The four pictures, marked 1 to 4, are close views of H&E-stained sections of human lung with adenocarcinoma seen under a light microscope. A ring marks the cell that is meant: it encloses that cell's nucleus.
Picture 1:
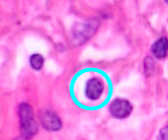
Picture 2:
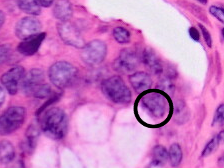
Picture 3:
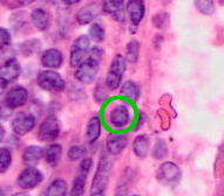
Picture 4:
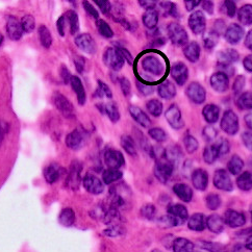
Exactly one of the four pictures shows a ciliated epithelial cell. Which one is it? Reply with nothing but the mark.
2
